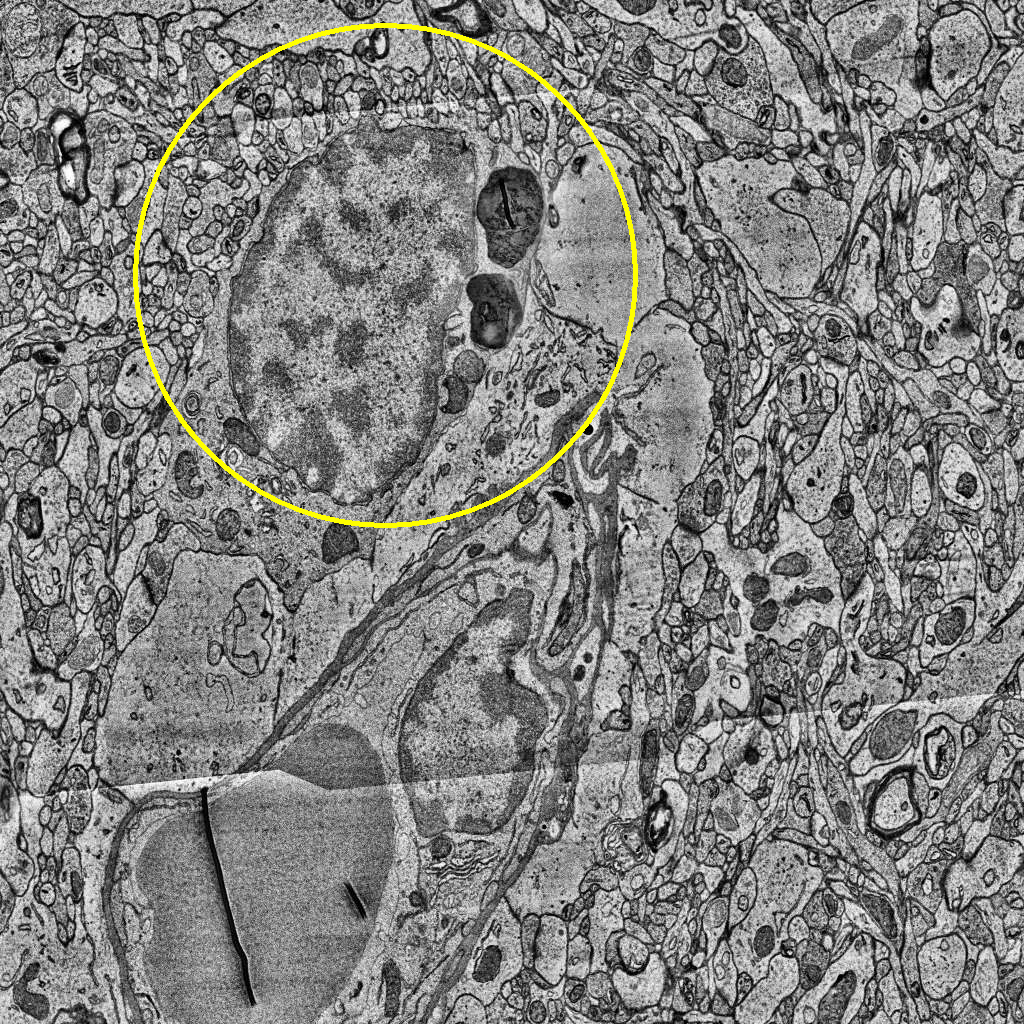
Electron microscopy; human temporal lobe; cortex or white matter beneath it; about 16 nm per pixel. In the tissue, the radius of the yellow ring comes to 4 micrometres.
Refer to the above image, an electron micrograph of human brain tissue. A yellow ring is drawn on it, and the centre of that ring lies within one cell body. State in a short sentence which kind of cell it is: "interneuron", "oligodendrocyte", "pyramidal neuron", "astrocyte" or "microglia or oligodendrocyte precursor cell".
The centre of the ring falls on an oligodendrocyte.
